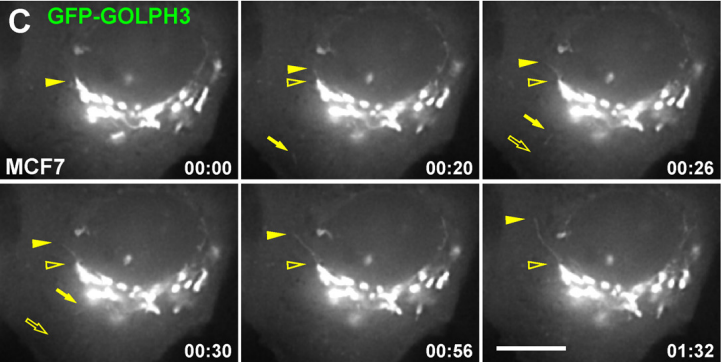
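The cytoplasm carries faint diffuse signal. From the Golgi crescent a thin tubular structure extends toward the upper left and lengthens across the frames, its tip marked by filled arrowheads. A small vesicular punctum near the lower left cell edge, marked by filled arrows, travels inward toward the Golgi area.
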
